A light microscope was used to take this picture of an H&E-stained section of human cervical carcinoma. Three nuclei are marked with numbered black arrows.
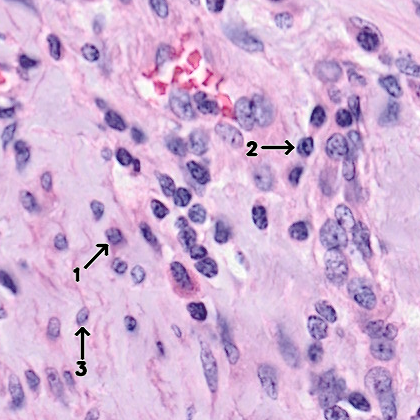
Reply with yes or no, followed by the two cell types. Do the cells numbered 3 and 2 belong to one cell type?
No, cell 3 is a smooth muscle cell, but cell 2 is a lymphocyte.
